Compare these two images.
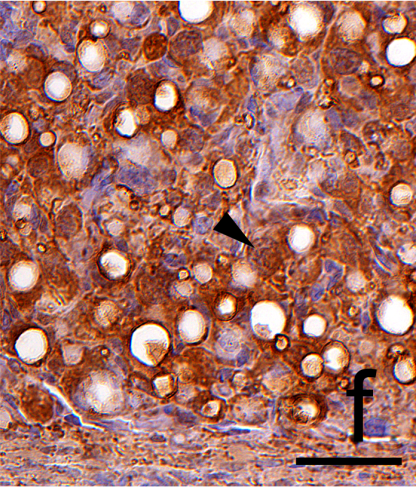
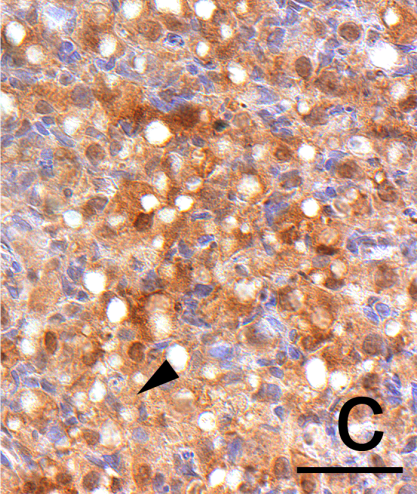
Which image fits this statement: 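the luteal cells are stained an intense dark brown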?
The first image.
